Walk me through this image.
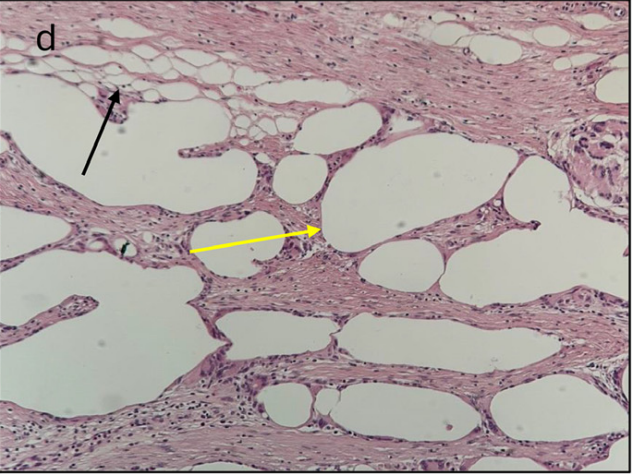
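At the top, small rounded fat cells pack together in a neat honeycomb, each an empty space with a thin pink wall. Below, the spaces become much larger and irregular in shape and size, no longer looking like single intact fat cells. Between them lie pink fibrous strands carrying many small purple nuclei. Above, a band of pink fibrous tissue with elongated nuclei runs across the field.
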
